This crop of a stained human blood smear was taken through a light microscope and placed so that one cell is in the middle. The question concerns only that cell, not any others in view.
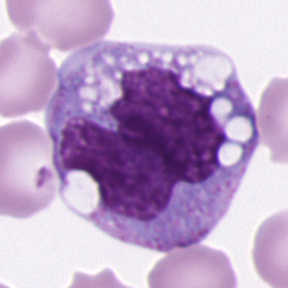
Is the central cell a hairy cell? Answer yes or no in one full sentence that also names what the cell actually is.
No, the cell in the centre of the crop is a monocyte as opposed to a hairy cell.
